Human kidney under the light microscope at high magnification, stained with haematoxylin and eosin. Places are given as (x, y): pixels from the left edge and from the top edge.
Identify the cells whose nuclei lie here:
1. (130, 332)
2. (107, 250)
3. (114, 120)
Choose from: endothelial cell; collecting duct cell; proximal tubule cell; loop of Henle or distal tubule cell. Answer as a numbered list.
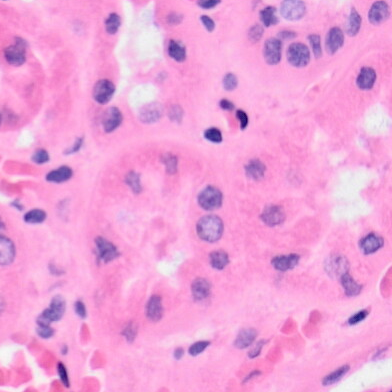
1. proximal tubule cell
2. proximal tubule cell
3. loop of Henle or distal tubule cell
